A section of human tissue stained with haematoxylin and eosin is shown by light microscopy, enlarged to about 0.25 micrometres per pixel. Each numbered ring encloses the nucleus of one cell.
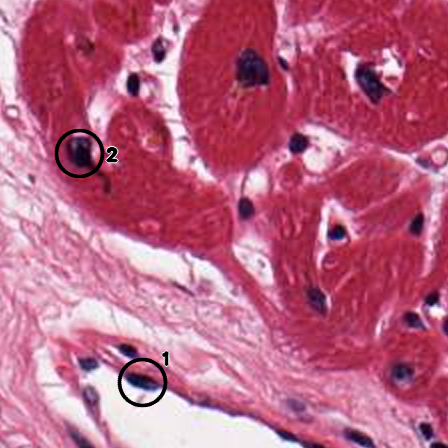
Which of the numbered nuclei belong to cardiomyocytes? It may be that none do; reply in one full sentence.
Nucleus 2 belongs to a cardiomyocyte, while none of the others do.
